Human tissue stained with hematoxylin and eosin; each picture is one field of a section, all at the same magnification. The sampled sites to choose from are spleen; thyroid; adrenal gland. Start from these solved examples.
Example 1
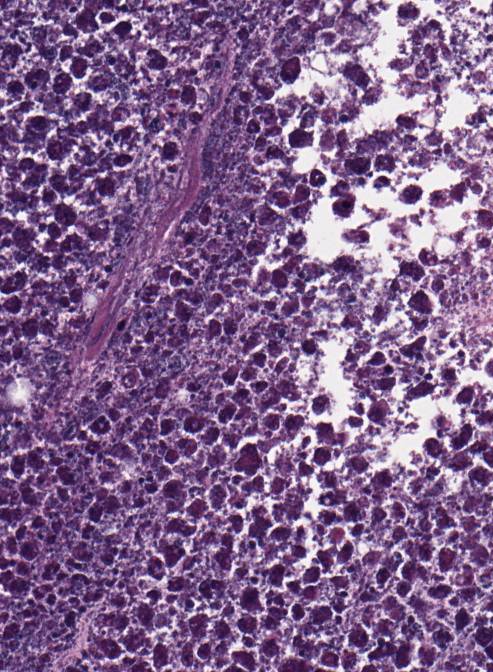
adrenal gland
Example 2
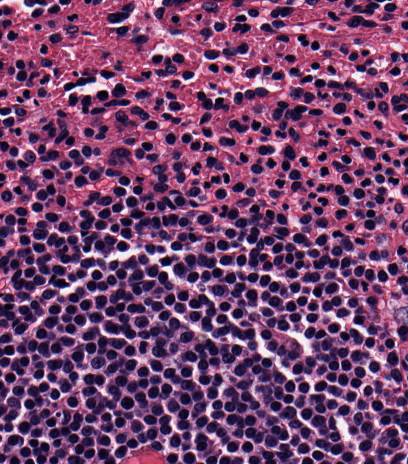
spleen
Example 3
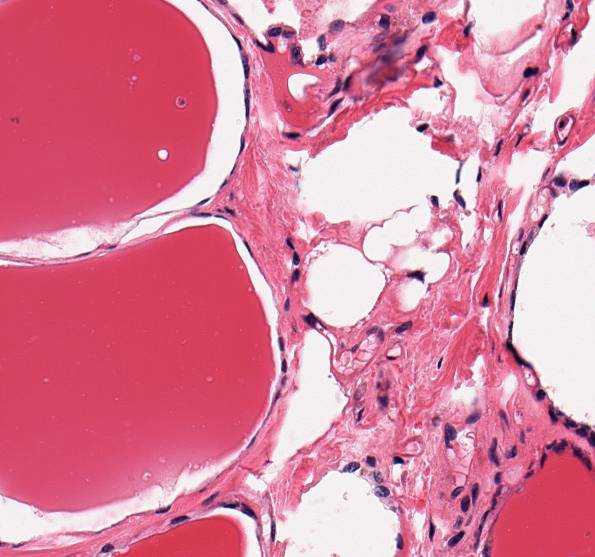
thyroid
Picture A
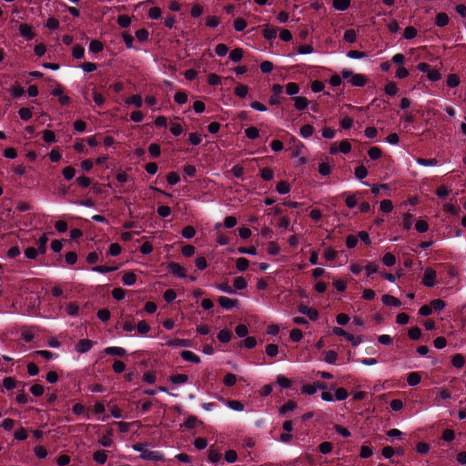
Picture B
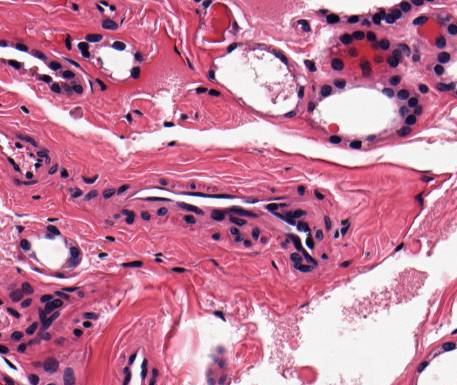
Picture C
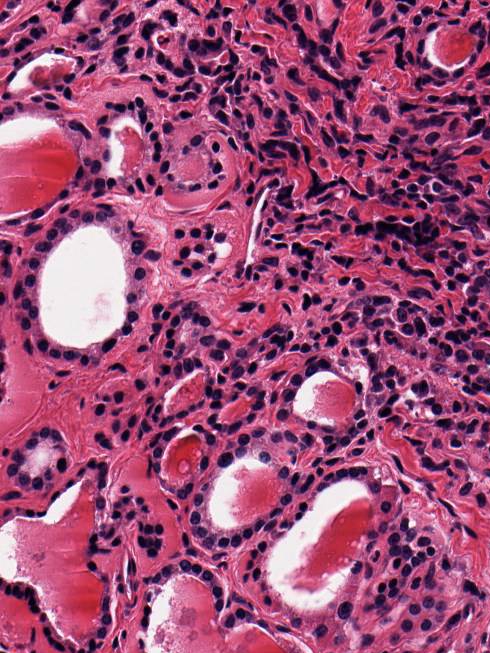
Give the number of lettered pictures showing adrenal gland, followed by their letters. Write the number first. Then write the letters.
1, namely A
